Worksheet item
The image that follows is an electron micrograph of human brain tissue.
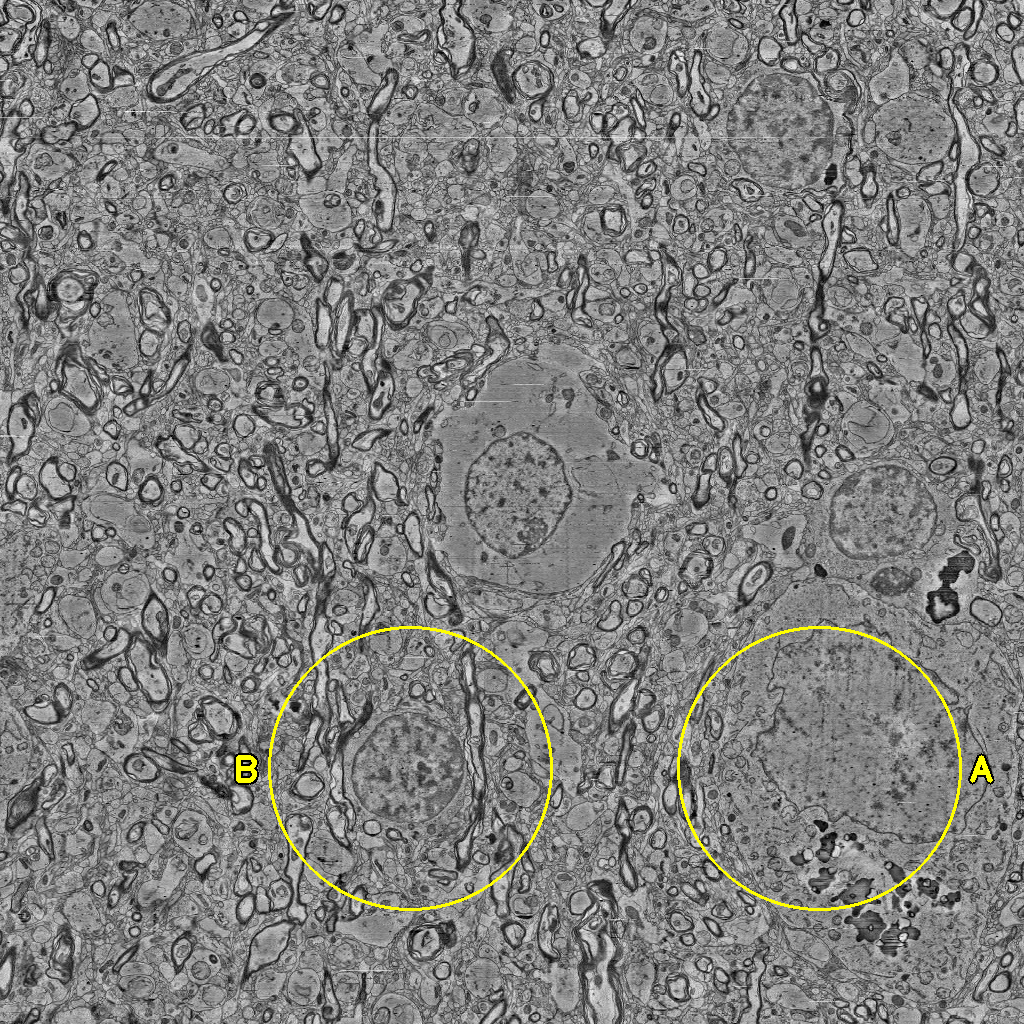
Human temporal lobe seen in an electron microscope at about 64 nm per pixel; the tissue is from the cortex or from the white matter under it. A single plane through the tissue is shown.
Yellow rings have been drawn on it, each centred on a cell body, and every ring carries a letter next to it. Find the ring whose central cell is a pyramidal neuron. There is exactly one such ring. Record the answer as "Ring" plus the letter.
Ring A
